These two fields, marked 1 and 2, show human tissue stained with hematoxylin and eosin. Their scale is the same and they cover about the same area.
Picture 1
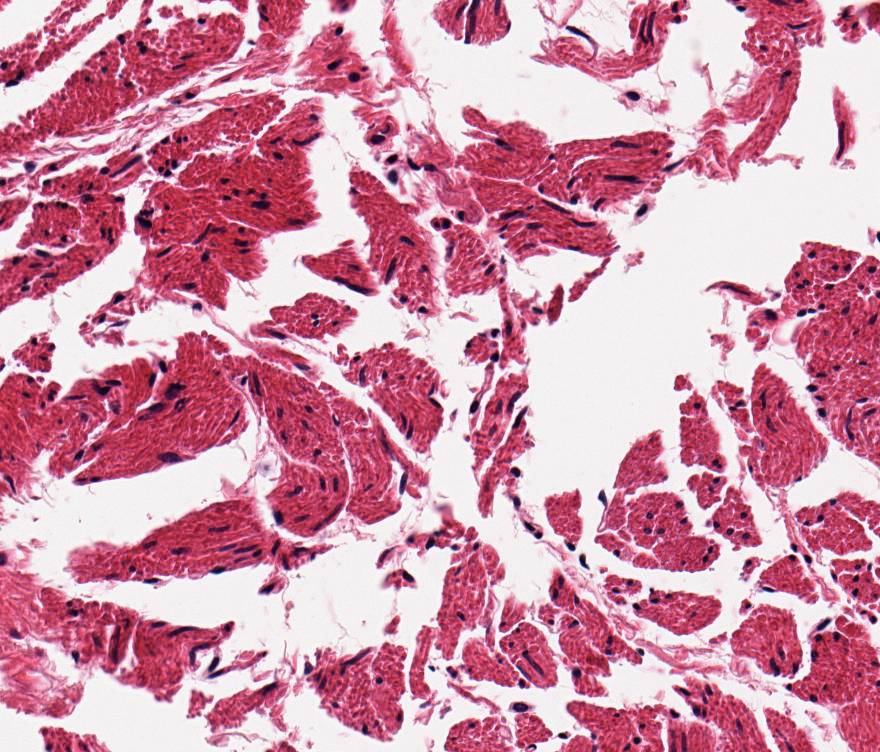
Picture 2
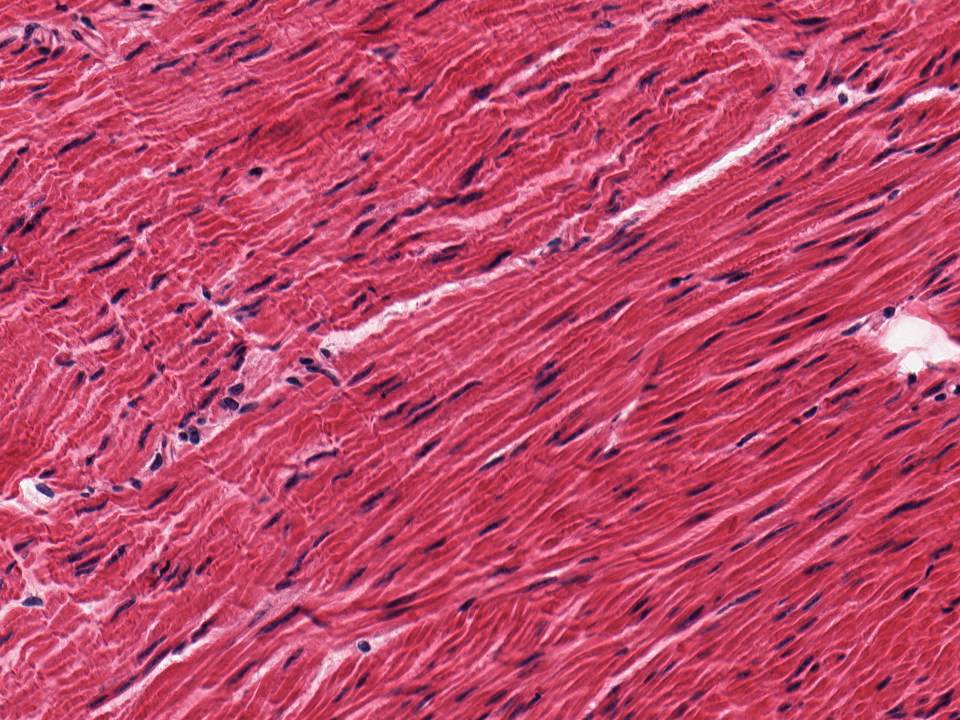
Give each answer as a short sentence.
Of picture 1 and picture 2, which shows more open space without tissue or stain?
Unstained space takes up more of picture 1 than of picture 2.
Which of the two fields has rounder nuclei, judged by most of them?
On the whole the nuclei of picture 1 are rounder than those of picture 2.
